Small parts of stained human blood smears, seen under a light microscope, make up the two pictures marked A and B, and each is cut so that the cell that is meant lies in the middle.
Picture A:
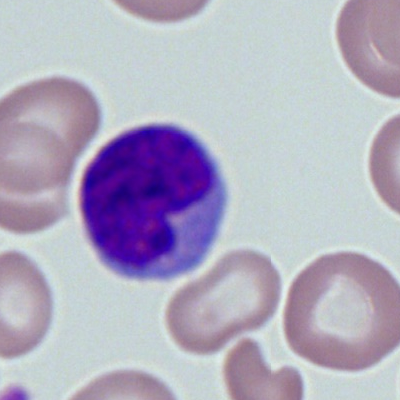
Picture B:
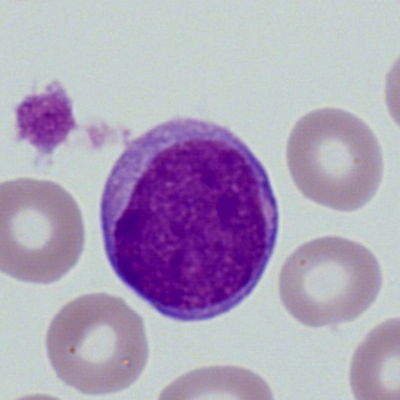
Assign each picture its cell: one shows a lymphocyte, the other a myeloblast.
A: lymphocyte
B: myeloblast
